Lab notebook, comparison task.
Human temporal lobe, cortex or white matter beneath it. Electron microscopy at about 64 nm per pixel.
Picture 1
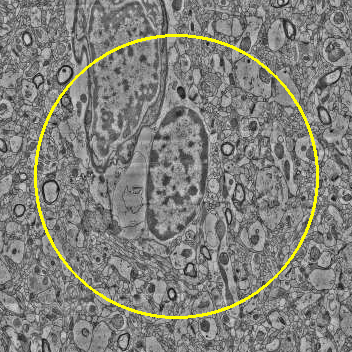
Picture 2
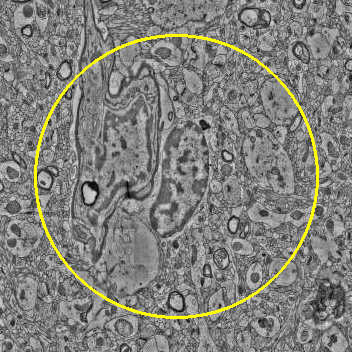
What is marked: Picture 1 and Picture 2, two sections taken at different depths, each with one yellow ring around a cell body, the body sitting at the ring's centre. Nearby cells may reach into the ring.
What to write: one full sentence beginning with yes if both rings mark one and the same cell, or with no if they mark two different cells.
Yes, both rings are placed on a single cell.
